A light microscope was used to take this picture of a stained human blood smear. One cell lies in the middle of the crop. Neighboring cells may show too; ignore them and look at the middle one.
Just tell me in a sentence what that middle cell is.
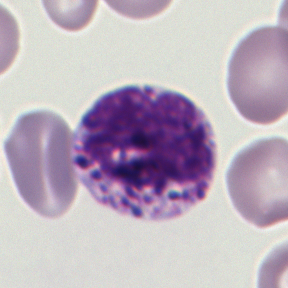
Centred in the crop is a basophil.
